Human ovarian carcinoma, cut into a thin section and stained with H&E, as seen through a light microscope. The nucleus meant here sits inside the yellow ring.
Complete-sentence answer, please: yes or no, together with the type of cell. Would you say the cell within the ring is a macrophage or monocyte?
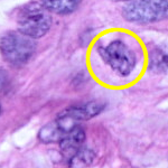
Yes, the cell within the ring qualifies as a macrophage or monocyte in this section.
